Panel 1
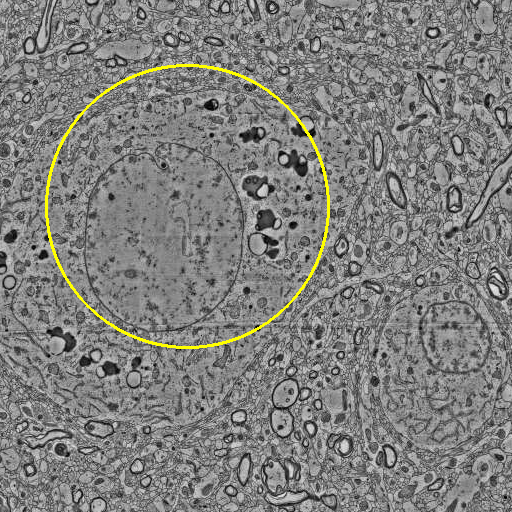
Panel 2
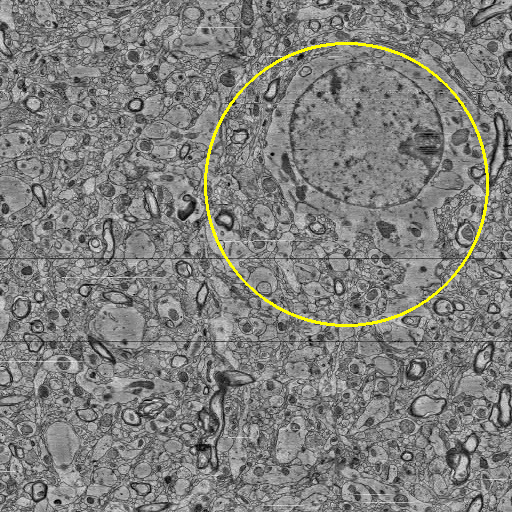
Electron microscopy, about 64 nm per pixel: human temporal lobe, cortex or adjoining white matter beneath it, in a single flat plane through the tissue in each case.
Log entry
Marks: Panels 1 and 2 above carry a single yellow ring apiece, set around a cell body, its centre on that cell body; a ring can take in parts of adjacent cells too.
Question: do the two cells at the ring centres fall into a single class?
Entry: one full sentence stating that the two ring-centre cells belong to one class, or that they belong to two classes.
The two ring-centre cells in Panels 1 and 2 belong to two classes.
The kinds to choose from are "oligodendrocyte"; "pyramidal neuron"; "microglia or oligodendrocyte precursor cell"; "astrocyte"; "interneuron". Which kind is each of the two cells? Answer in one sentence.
Of the two, the first cell is a pyramidal neuron and the second cell is an astrocyte.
